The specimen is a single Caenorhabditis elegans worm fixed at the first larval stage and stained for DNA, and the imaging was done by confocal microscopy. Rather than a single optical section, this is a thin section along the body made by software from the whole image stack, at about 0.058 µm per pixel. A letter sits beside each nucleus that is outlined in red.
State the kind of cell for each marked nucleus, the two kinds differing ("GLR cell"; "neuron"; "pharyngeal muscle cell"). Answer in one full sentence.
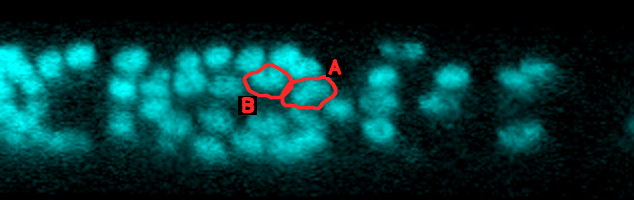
A is the nucleus of a pharyngeal muscle cell; B is the nucleus of a neuron.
